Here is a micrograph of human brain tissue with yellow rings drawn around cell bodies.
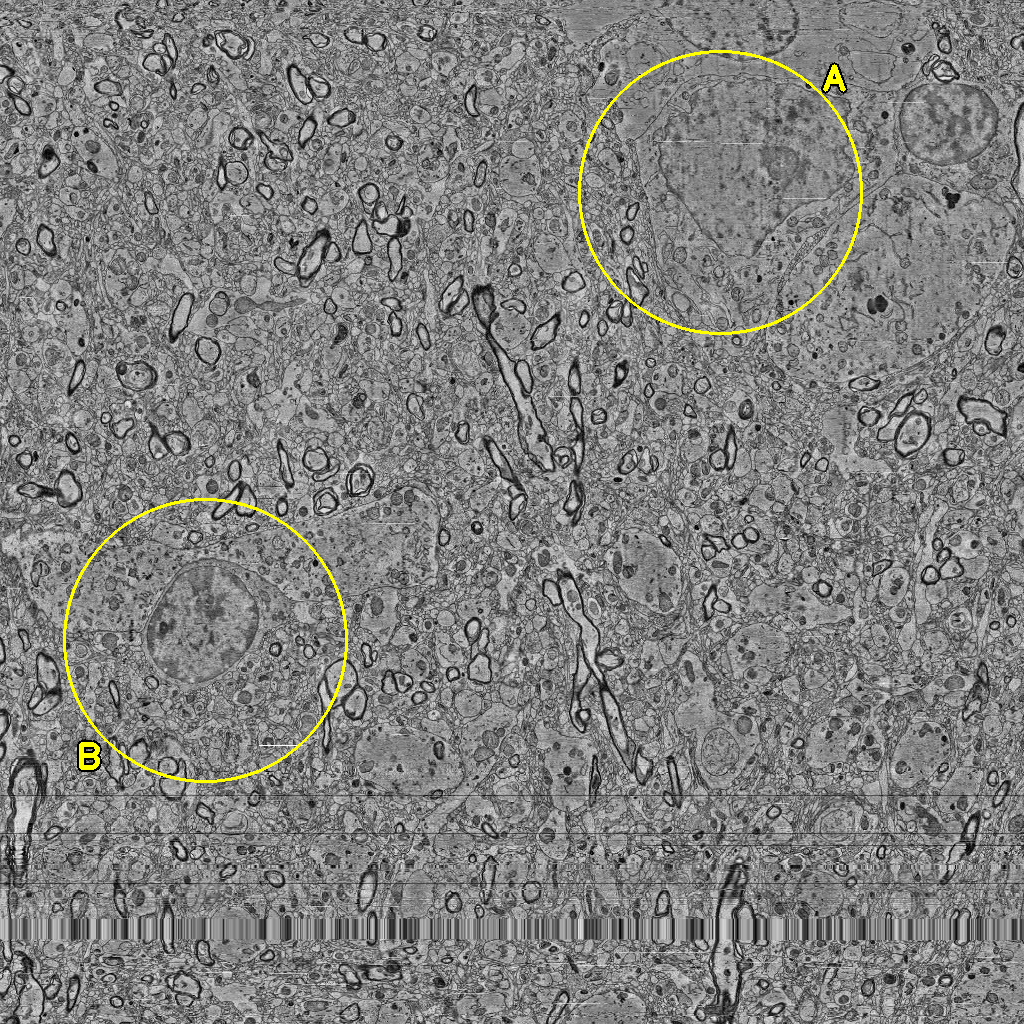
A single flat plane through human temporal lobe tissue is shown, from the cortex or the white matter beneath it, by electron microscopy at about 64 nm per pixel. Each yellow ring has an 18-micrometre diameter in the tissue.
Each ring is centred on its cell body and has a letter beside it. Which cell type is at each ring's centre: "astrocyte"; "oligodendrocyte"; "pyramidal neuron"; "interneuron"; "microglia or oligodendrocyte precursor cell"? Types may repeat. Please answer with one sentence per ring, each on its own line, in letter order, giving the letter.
Ring A shows an interneuron at its centre.
Ring B shows an oligodendrocyte at its centre.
